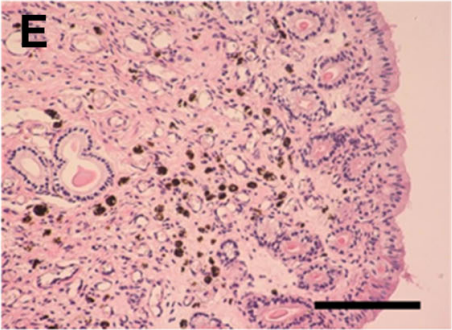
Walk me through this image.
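This is uterine mucosa with many glands set in a loose stroma, and numerous dark brown to black pigment granules scattered among them. A single layer of columnar epithelium lines the surface on the right. The glands are round to oval in cross section, lined by cuboidal to columnar cells with basal purple nuclei; some lumens hold pale pink material. The stroma between them holds cells with small oval or spindle-shaped nuclei in a pale pink background. The brown granules are coarse and irregular, lying singly and in clumps, and are most crowded in the deeper middle of the field between the glands.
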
